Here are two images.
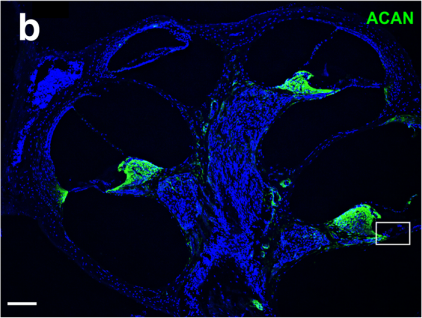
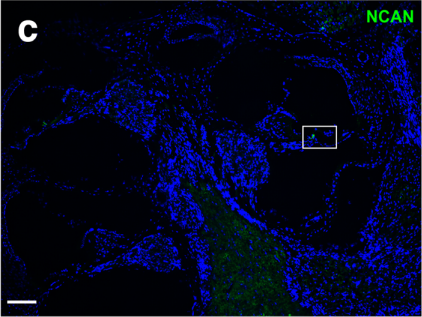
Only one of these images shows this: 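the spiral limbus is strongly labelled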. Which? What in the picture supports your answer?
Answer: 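First image: bright green masses at the inner side of several turns. So: the first image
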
